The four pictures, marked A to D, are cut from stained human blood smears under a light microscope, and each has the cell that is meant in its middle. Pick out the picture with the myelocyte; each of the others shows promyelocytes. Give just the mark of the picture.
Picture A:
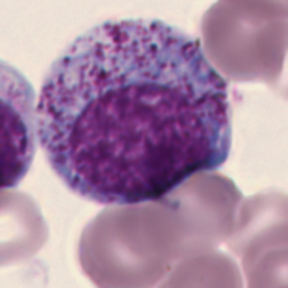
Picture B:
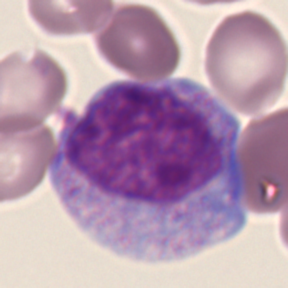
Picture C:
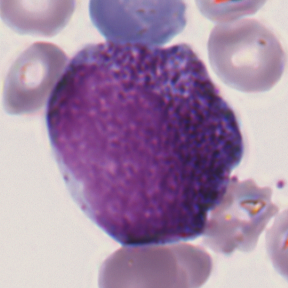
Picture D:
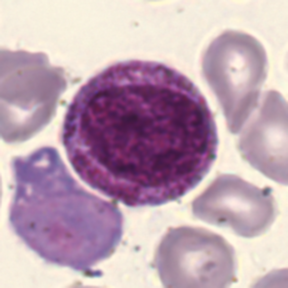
D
